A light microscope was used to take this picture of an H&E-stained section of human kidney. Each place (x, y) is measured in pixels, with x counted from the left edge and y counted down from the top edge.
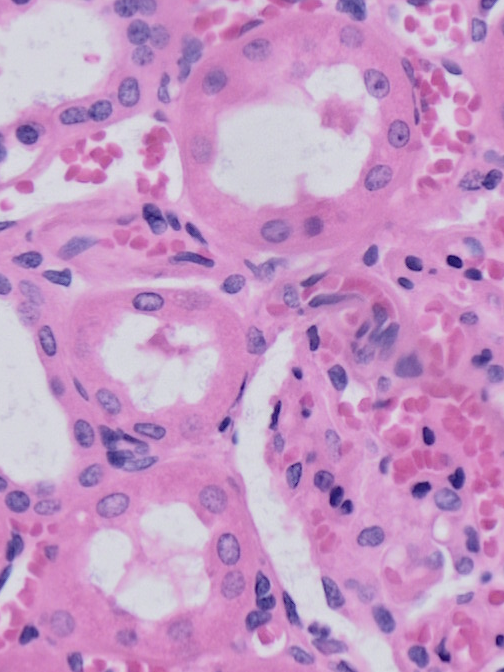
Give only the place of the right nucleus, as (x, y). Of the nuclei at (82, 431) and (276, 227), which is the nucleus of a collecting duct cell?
(82, 431)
